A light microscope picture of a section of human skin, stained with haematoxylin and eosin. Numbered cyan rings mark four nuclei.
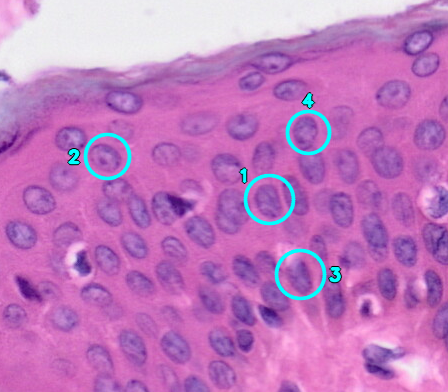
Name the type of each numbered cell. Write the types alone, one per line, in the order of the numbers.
suprabasal keratinocyte
suprabasal keratinocyte
basal keratinocyte
suprabasal keratinocyte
